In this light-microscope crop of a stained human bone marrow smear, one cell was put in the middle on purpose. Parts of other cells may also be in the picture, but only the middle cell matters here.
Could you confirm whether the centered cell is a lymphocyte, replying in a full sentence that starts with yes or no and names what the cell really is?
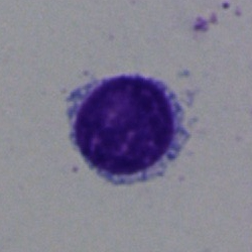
Yes, the cell of interest in the middle is a lymphocyte.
